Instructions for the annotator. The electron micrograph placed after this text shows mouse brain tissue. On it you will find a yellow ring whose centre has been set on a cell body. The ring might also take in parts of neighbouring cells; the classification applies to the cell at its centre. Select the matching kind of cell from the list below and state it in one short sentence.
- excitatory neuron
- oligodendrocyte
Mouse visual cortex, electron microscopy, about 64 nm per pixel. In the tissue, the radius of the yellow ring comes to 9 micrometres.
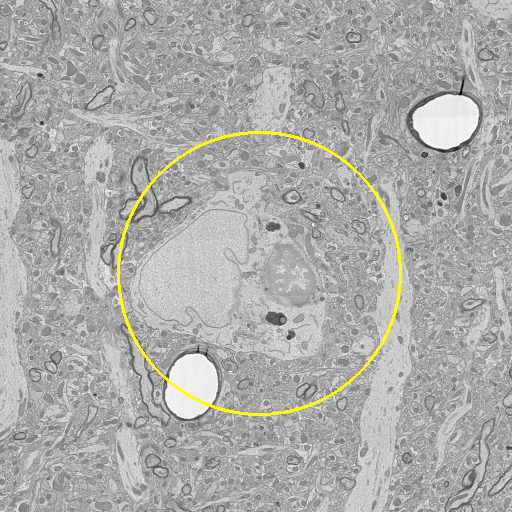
The ring is drawn on the cell body of an oligodendrocyte.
